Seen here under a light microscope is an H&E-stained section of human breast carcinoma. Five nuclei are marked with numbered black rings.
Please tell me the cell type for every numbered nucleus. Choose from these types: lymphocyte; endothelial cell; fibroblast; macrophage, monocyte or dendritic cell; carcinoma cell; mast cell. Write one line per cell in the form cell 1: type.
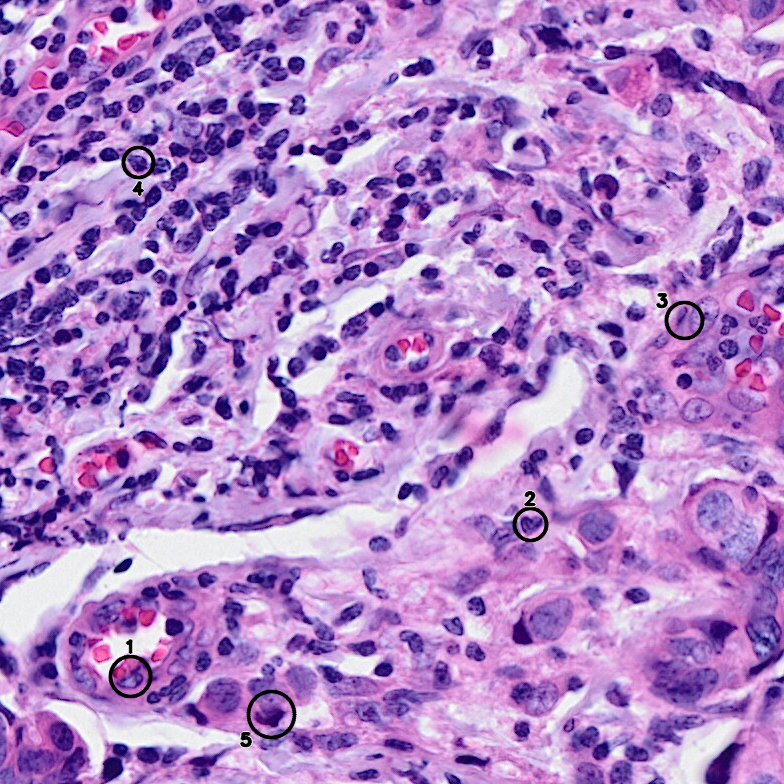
cell 1: endothelial cell
cell 2: lymphocyte
cell 3: endothelial cell
cell 4: lymphocyte
cell 5: carcinoma cell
